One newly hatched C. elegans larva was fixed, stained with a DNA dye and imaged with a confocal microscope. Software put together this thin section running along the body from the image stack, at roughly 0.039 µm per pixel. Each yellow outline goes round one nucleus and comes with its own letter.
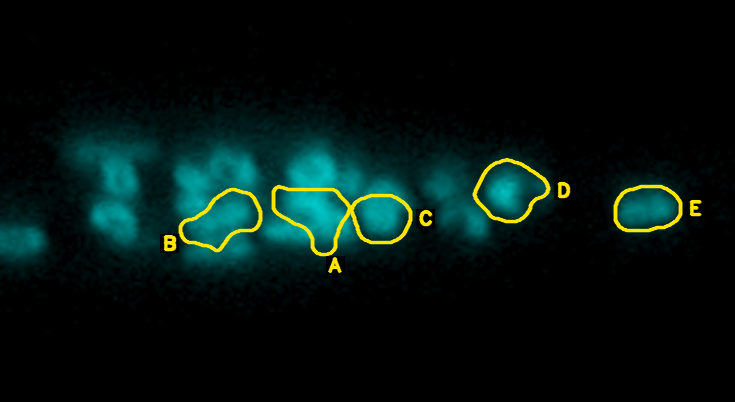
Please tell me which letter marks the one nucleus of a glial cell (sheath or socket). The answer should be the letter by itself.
C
